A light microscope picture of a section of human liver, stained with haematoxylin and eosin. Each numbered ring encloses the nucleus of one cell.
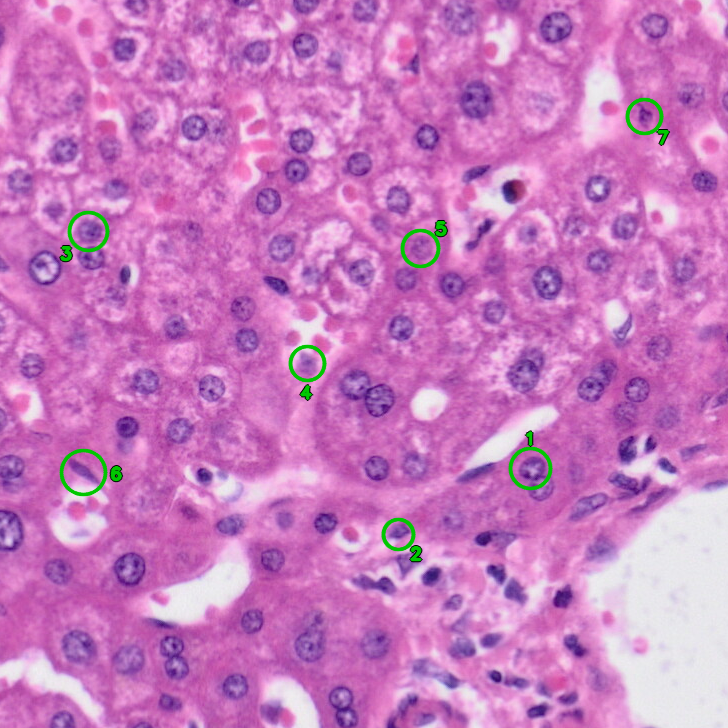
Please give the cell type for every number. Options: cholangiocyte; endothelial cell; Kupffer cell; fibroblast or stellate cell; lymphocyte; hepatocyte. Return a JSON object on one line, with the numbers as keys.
{"1": "hepatocyte", "2": "fibroblast or stellate cell", "3": "hepatocyte", "4": "Kupffer cell", "5": "hepatocyte", "6": "fibroblast or stellate cell", "7": "fibroblast or stellate cell"}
